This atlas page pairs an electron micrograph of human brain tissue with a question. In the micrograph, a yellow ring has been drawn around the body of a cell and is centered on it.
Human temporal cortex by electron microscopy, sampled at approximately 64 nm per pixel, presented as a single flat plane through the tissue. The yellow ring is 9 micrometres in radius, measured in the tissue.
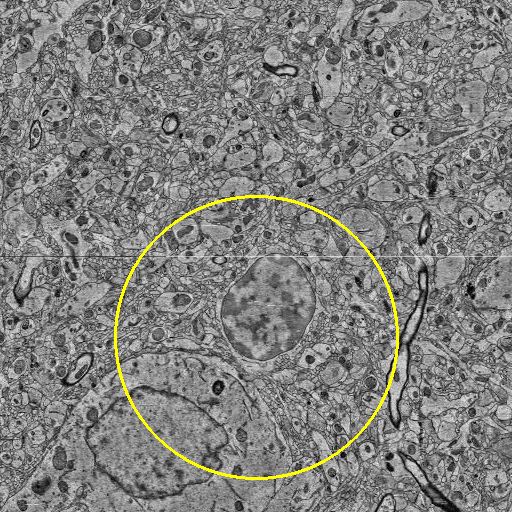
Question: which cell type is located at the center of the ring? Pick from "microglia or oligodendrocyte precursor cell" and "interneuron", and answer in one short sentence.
Located at the center of the ring is a microglial cell or oligodendrocyte precursor cell.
